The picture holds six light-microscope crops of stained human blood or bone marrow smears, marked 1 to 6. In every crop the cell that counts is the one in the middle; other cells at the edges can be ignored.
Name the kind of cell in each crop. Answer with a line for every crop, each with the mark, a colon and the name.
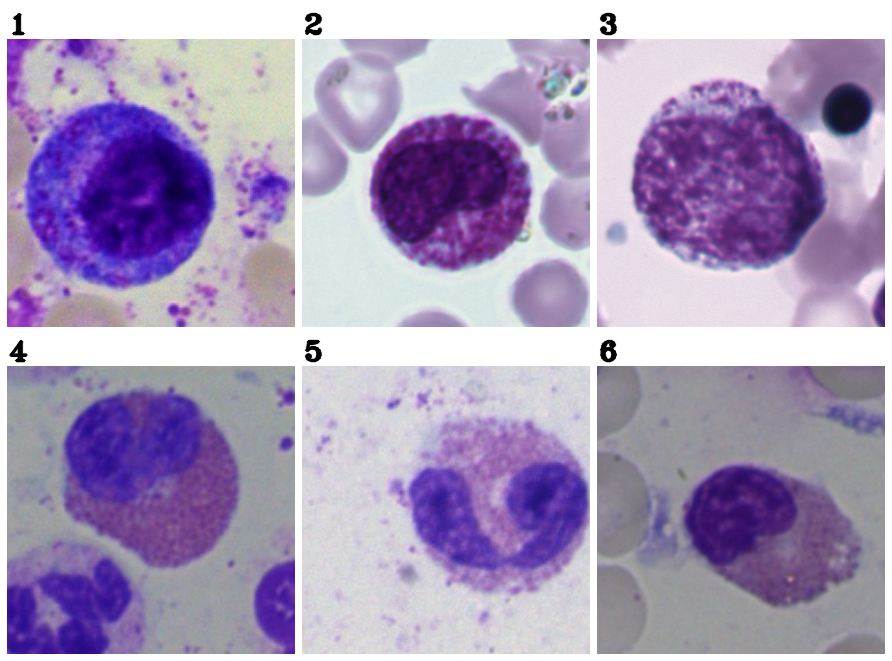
1: promyelocyte
2: eosinophil
3: promyelocyte
4: eosinophil
5: eosinophil
6: eosinophil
